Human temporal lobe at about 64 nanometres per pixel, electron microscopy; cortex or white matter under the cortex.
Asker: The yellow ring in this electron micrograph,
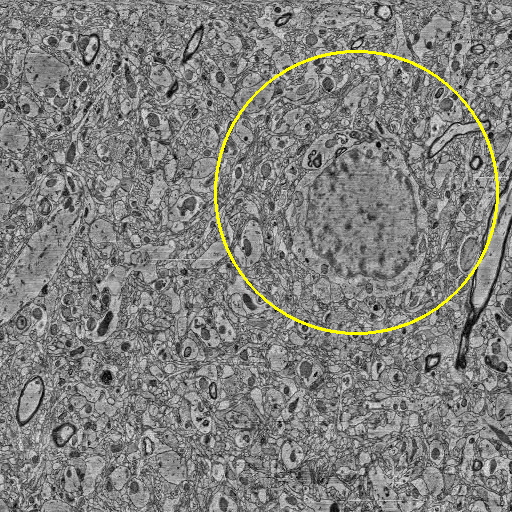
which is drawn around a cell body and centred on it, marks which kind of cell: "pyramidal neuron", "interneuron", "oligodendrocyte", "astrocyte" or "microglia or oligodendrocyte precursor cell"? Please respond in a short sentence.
The marked cell is an interneuron.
